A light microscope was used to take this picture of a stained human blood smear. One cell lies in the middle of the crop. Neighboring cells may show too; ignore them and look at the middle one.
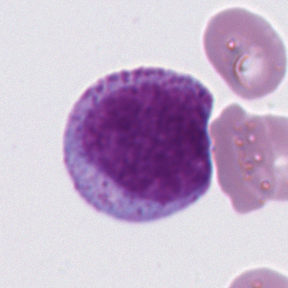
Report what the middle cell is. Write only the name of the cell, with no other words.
myelocyte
